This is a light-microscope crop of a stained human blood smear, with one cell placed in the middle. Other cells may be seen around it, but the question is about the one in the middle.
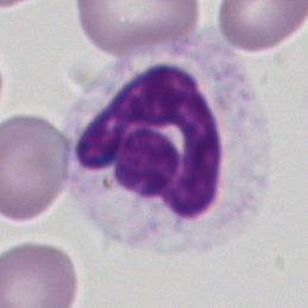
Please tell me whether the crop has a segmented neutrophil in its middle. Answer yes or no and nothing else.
yes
